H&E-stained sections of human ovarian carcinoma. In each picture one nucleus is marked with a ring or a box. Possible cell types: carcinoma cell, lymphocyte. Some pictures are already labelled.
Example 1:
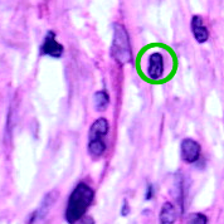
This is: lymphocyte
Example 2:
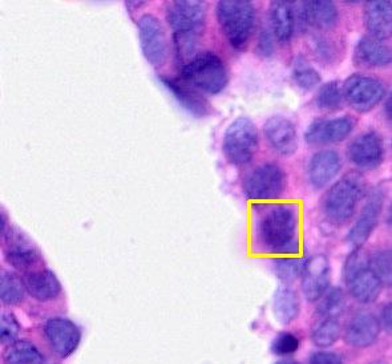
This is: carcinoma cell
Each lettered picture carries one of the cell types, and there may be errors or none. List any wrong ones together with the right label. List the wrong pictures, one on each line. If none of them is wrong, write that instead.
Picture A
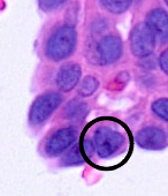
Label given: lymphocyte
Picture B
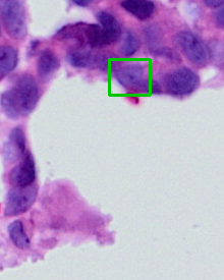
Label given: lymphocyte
A: change lymphocyte to carcinoma cell
B: change lymphocyte to carcinoma cell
